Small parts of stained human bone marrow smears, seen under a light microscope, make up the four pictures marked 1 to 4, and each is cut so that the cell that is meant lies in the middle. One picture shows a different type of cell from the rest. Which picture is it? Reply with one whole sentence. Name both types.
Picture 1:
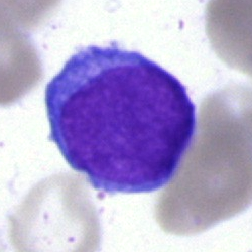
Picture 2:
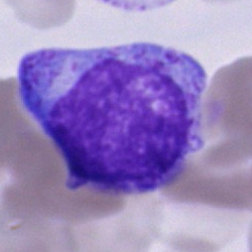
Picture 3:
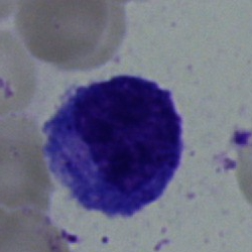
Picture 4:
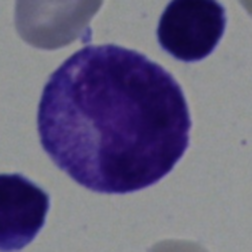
The others show promyelocytes, but picture 1 shows a blast.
